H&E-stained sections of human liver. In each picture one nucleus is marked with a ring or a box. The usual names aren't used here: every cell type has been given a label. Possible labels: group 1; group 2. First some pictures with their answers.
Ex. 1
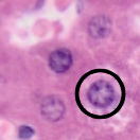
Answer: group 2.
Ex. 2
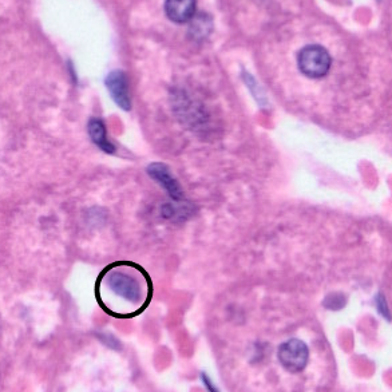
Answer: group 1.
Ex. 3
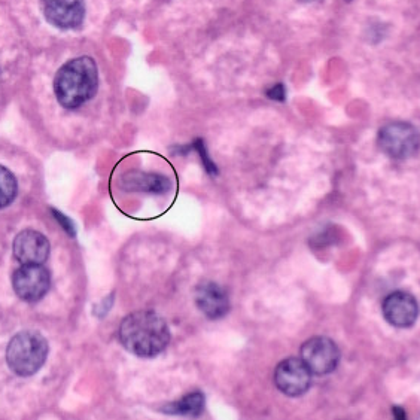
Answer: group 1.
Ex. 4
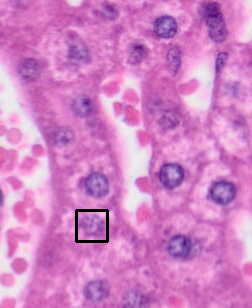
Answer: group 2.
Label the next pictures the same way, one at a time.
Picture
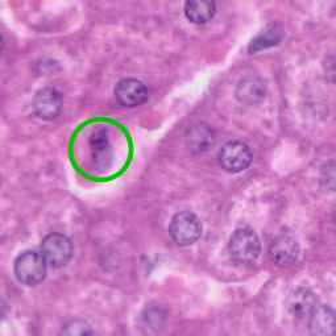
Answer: group 1.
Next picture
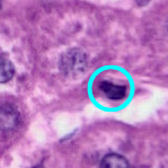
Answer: group 1.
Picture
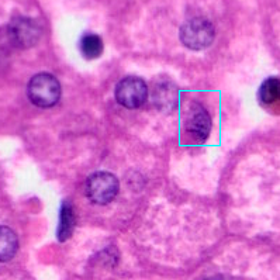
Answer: group 1.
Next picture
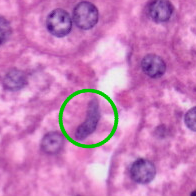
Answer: group 1.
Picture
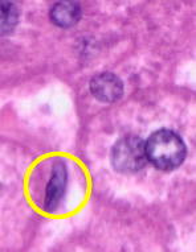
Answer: group 1.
